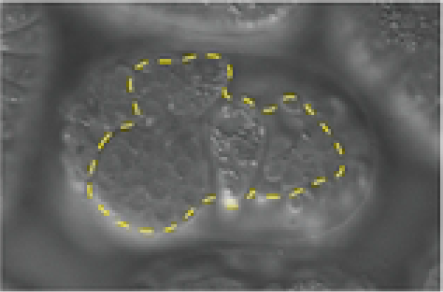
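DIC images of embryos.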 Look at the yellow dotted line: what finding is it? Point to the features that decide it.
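Extruded gut. A yellow dotted line encloses a lobed granular mass within the eggshell.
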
